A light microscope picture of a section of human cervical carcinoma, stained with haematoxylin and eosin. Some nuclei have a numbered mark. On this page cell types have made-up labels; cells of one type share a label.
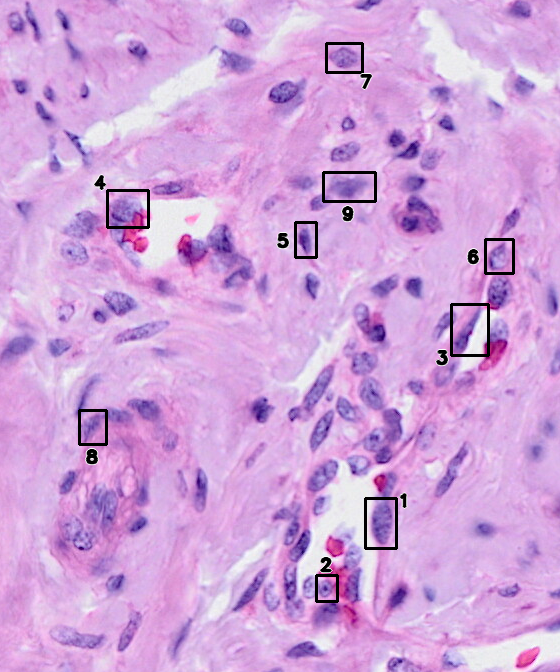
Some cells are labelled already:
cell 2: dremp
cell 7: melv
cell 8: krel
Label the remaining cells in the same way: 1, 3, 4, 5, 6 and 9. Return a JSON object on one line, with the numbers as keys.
{"1": "dremp", "3": "dremp", "4": "dremp", "5": "melv", "6": "dremp", "9": "melv"}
